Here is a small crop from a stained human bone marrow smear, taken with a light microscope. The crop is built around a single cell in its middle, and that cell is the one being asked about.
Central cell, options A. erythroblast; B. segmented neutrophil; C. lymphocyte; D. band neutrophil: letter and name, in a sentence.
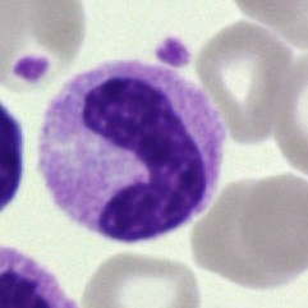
The cell in the middle is a band neutrophil, so option D is correct.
